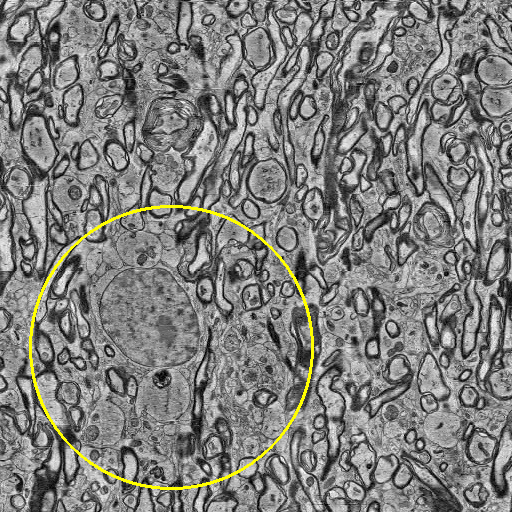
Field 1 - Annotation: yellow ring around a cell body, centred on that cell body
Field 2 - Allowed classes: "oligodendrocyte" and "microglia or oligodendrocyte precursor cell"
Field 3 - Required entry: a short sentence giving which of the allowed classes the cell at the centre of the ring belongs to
The centred cell is a microglial cell or oligodendrocyte precursor cell.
